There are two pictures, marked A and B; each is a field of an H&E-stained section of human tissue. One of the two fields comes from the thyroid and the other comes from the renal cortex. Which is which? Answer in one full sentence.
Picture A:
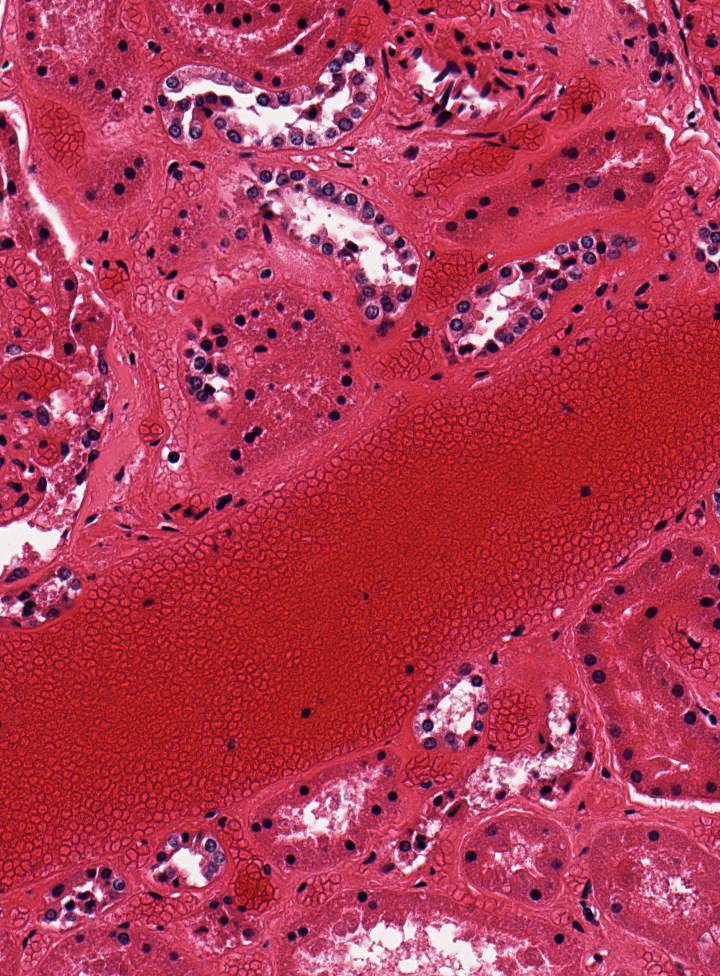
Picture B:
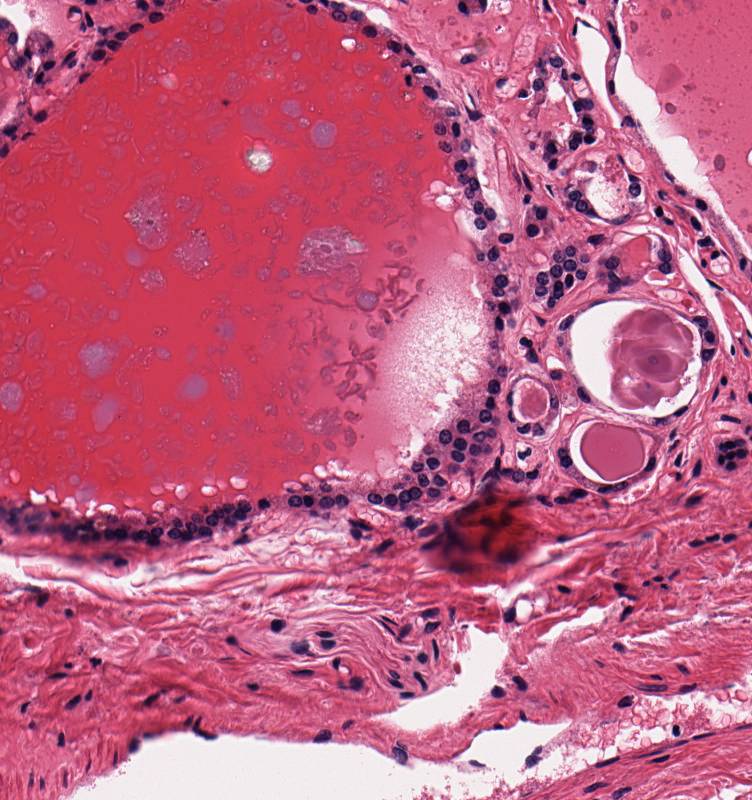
It is picture A that comes from the renal cortex, and picture B that comes from the thyroid.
